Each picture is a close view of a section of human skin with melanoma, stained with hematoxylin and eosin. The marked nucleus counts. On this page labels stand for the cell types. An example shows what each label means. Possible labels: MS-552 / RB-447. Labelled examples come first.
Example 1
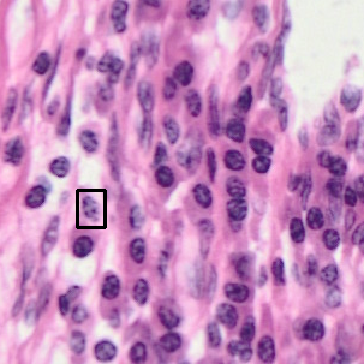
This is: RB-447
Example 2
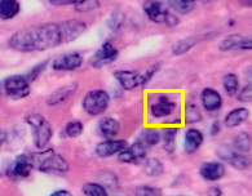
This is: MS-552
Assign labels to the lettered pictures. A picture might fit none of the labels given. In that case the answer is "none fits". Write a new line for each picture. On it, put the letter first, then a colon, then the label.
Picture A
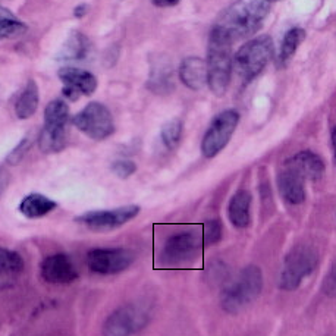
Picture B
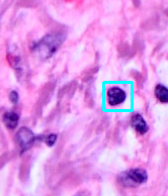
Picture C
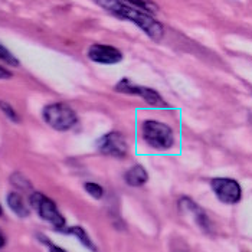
A: none fits
B: MS-552
C: MS-552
